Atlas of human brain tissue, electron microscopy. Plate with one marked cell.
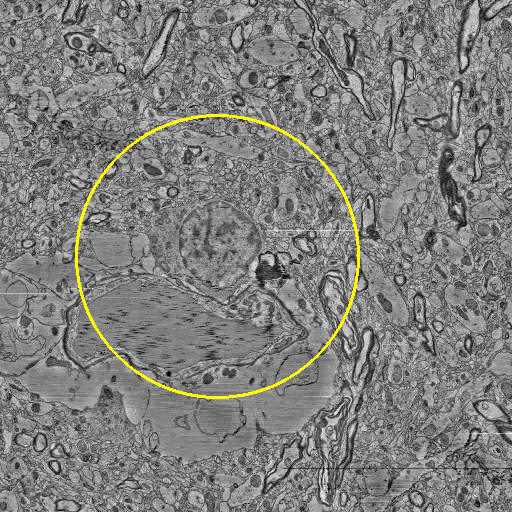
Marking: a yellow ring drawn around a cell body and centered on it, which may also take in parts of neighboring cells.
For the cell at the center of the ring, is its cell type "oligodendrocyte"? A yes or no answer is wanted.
Yes, that is its cell type.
